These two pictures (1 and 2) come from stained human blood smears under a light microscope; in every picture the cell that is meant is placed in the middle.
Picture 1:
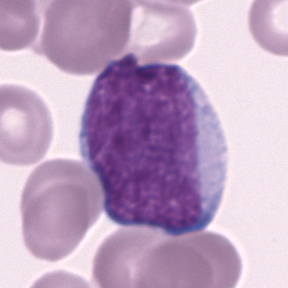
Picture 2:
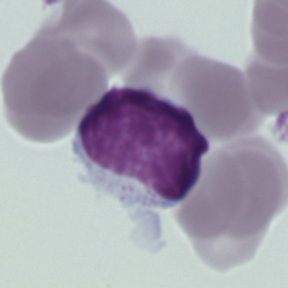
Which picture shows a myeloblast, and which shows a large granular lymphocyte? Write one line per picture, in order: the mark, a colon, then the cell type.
1: myeloblast
2: large granular lymphocyte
